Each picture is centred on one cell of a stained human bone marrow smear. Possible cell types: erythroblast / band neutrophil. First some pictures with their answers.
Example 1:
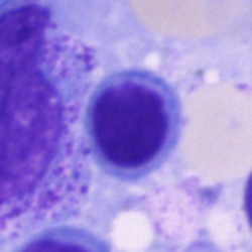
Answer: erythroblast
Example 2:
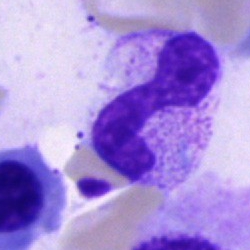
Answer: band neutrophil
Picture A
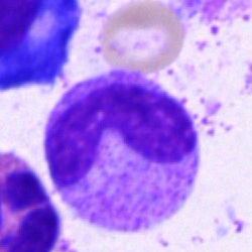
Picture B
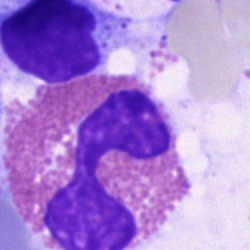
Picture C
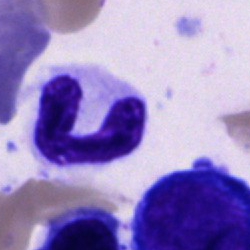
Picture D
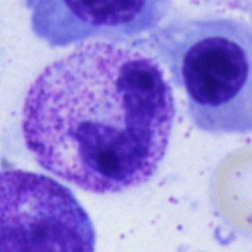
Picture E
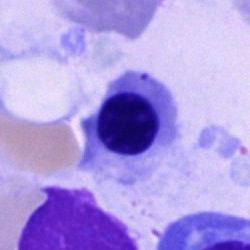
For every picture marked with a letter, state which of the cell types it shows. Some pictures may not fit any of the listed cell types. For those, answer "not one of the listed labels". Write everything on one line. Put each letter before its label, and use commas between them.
A band neutrophil, B not one of the listed labels, C band neutrophil, D band neutrophil, E erythroblast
